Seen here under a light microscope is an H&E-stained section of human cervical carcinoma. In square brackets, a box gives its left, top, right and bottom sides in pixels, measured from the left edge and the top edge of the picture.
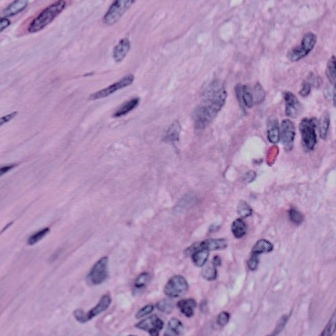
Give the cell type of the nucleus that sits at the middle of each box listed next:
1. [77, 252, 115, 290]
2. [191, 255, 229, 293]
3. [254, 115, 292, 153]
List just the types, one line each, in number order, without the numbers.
fibroblast
endothelial cell
endothelial cell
